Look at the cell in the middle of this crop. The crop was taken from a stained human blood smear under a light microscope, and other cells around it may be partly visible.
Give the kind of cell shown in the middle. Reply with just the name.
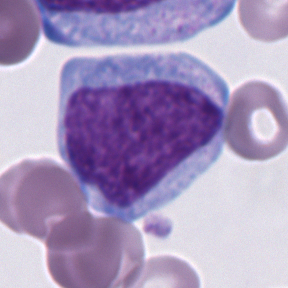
promyelocyte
